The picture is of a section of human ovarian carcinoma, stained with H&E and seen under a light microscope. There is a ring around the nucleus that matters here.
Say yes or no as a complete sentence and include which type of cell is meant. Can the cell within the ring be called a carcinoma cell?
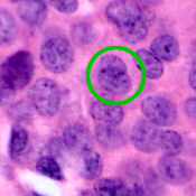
Yes, the cell within the ring is, by its type, a carcinoma cell.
